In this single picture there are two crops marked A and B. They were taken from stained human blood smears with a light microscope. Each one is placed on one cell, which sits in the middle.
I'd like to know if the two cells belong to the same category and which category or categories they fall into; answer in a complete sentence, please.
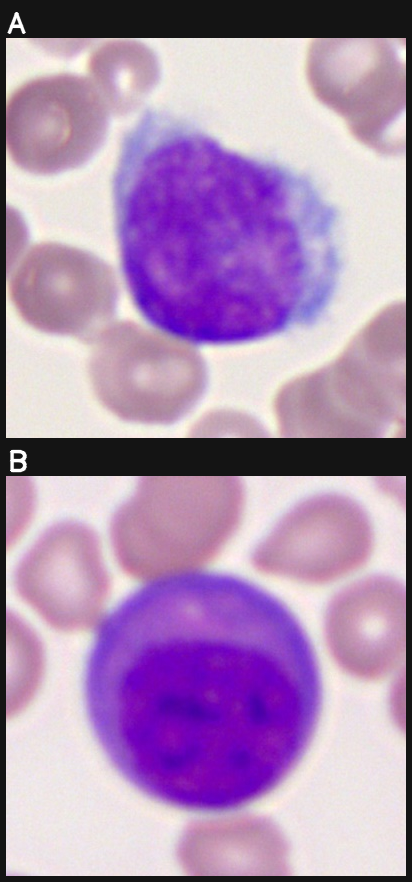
Yes, myeloblasts are shown in both crops.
